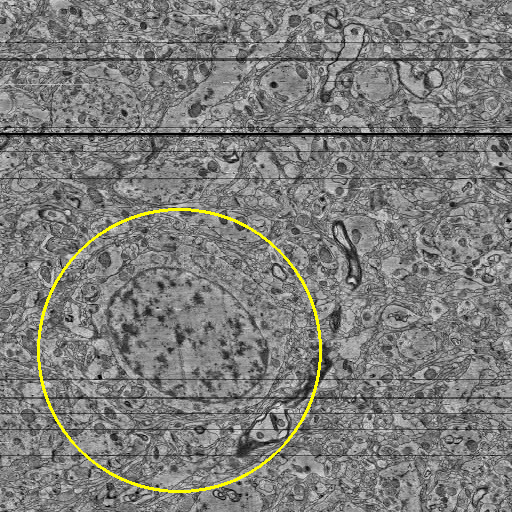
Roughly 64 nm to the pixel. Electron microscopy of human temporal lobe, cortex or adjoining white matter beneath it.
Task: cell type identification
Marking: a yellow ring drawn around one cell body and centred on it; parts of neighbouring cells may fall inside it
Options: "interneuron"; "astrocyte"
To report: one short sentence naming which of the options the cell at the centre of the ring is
The cell at the centre of the ring is an interneuron.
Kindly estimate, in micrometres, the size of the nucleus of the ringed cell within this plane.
In this plane, approximately 11 by 8 micrometers.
